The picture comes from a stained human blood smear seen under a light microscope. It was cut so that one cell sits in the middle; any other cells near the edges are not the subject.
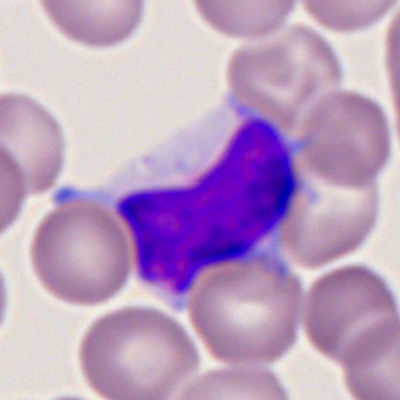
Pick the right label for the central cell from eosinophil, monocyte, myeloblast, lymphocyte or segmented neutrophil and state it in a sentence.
Seen at the centre of the crop is a lymphocyte.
